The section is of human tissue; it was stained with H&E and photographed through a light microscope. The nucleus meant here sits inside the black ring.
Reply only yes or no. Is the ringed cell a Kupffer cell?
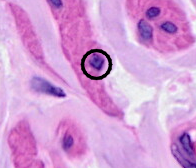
no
